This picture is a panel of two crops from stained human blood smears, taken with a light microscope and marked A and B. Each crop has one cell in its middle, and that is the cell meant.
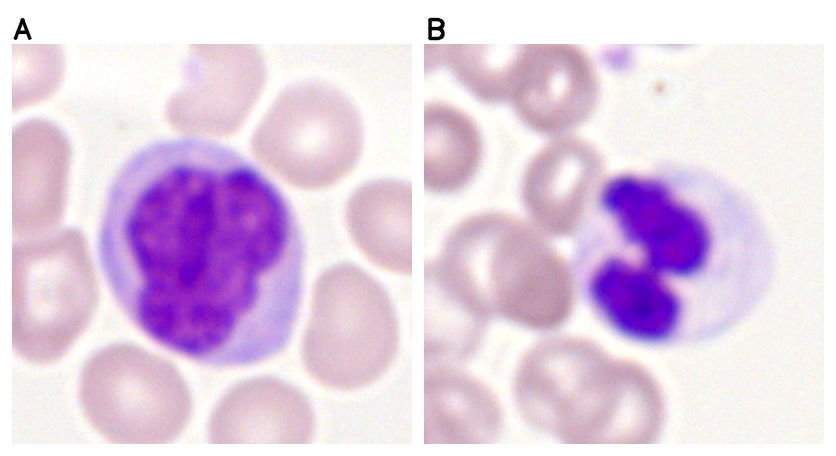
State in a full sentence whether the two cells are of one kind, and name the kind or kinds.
No, a segmented neutrophil is depicted in crop B, whereas a monocyte is depicted in crop A.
